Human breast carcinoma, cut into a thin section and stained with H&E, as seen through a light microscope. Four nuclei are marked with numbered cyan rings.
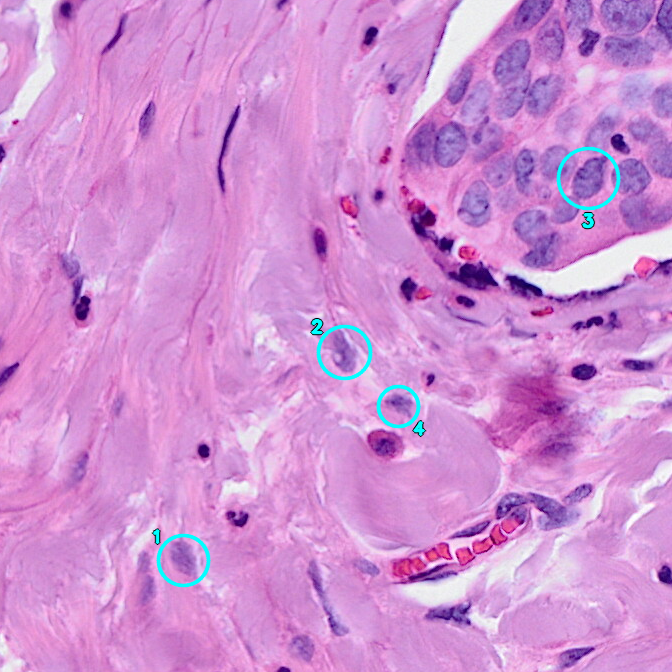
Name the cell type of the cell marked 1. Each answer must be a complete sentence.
Looking at the numbered marks, cell 1 is a fibroblast.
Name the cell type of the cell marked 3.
Marked with the number 3, this cell is a carcinoma cell.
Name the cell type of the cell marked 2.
The cell numbered 2 has been identified as a fibroblast.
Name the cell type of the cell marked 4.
Identified by the number 4, the cell is a fibroblast.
